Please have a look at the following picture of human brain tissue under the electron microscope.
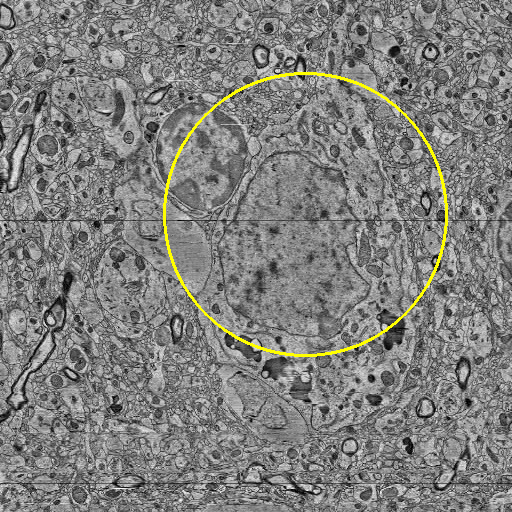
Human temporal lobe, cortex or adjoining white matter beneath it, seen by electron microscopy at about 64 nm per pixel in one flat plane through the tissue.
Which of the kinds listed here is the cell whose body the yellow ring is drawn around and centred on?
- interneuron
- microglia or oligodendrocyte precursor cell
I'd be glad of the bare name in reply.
interneuron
